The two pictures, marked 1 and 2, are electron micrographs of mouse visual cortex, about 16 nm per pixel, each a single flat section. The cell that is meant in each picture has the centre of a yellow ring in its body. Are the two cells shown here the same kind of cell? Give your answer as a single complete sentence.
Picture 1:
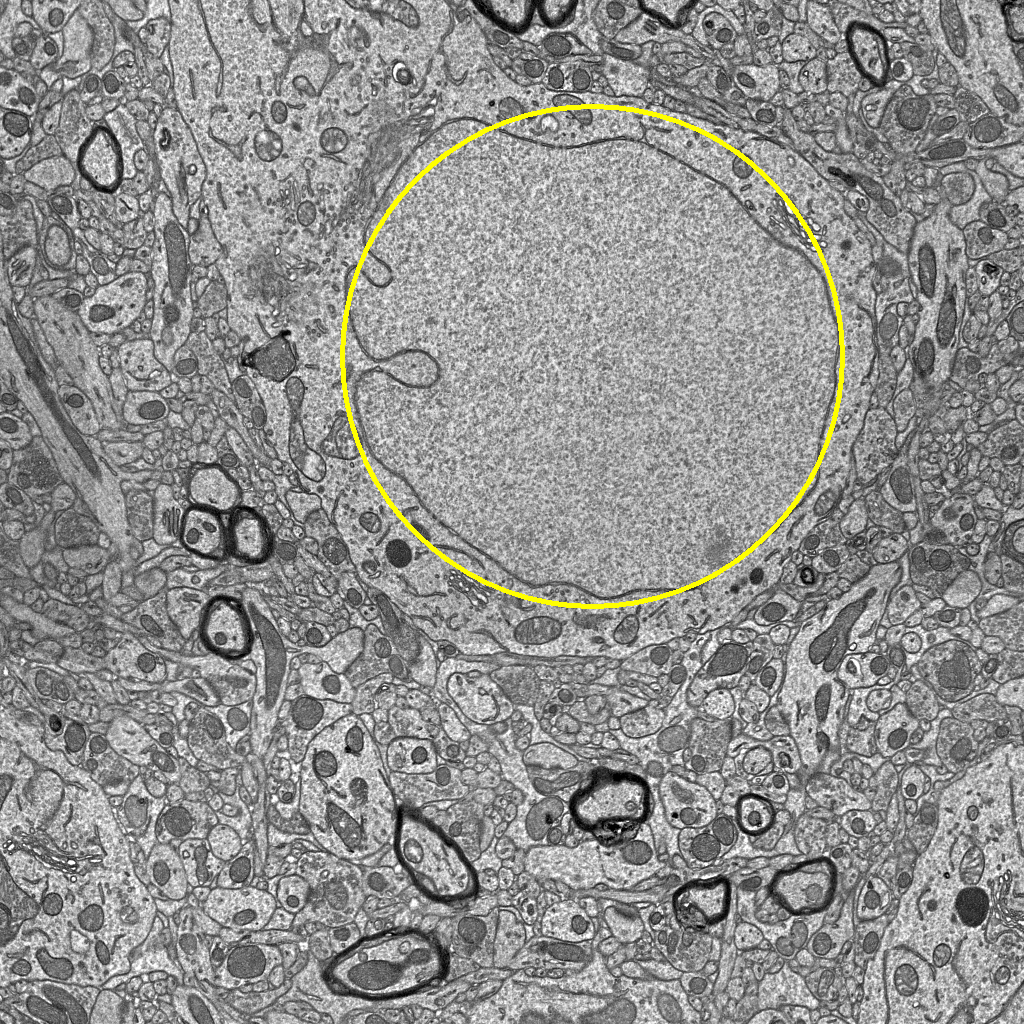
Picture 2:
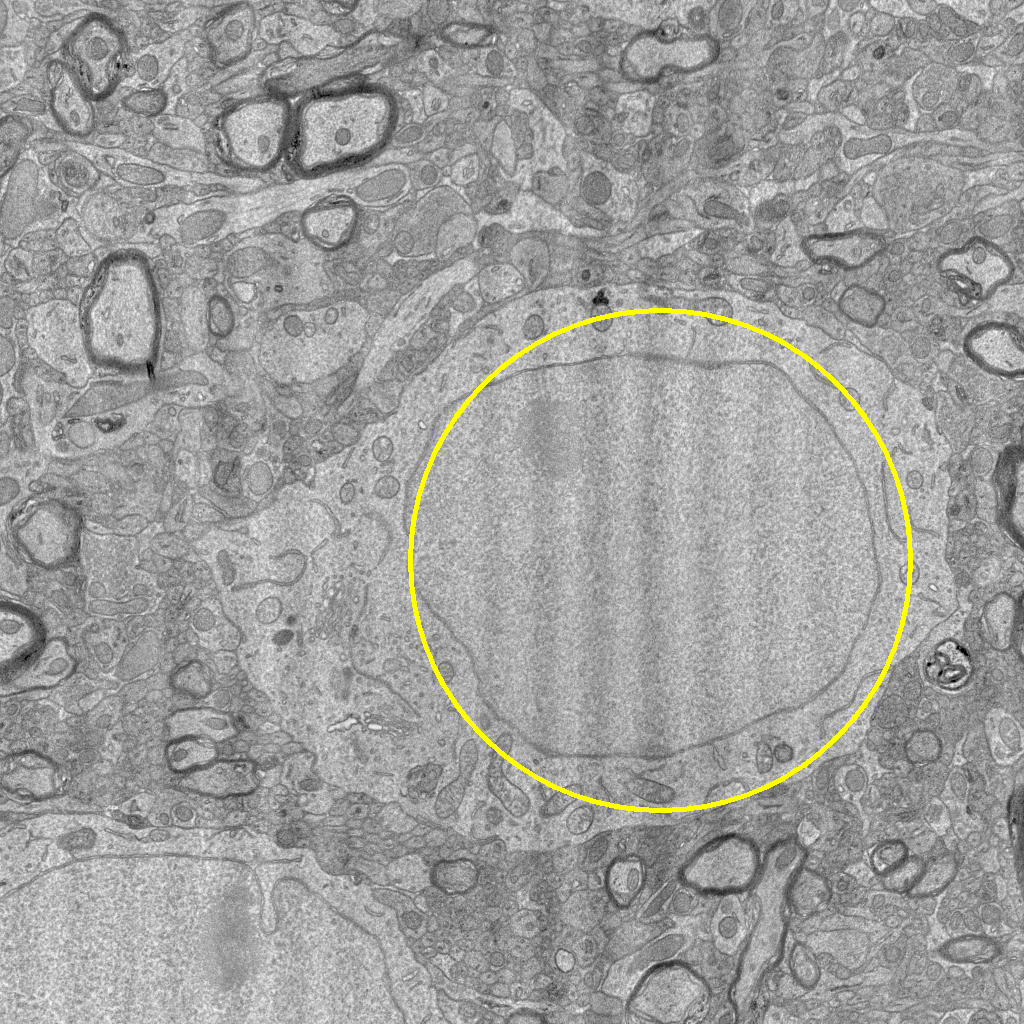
Yes; the cells in both pictures are excitatory neurons.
